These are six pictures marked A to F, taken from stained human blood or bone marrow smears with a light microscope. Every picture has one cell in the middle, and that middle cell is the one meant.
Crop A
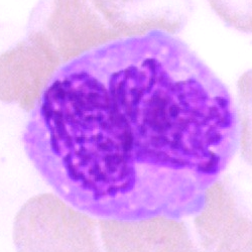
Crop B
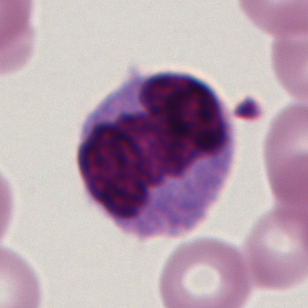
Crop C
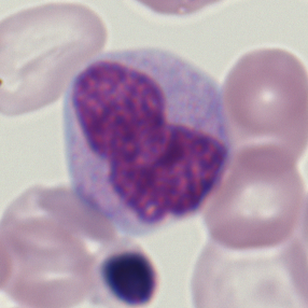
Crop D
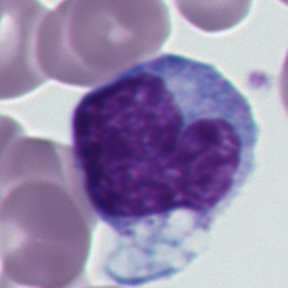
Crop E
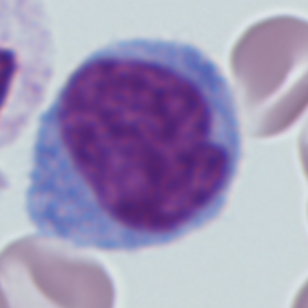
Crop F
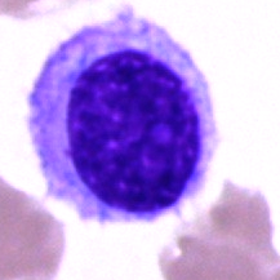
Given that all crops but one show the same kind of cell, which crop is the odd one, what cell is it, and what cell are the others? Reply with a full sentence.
Crop F breaks the pattern as a hairy cell; the other crops all contain monocytes.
